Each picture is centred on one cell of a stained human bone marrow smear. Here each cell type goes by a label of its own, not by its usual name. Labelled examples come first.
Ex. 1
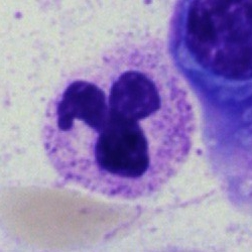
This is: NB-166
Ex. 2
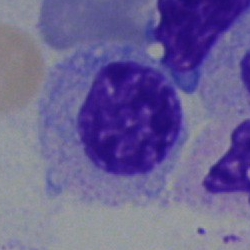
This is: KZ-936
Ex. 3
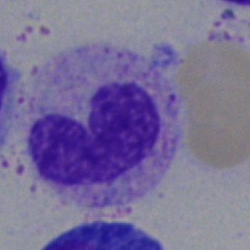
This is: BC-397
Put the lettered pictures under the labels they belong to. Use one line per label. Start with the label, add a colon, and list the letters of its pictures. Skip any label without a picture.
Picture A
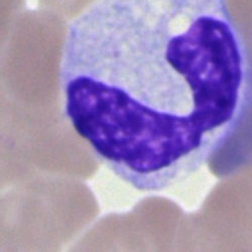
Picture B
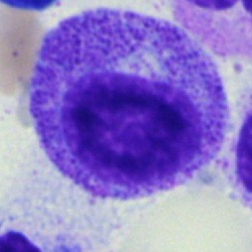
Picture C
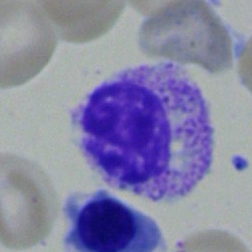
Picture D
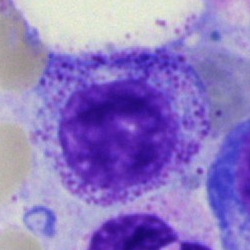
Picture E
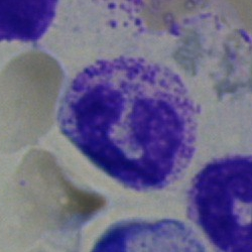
NB-166: A
KZ-936: B, C, D
BC-397: E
